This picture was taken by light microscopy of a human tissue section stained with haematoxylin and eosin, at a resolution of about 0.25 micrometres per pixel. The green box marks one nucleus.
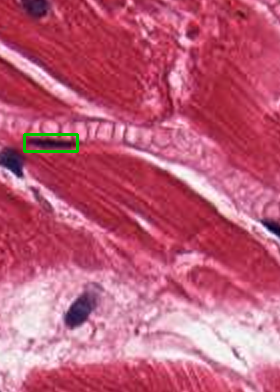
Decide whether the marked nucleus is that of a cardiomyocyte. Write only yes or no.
no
